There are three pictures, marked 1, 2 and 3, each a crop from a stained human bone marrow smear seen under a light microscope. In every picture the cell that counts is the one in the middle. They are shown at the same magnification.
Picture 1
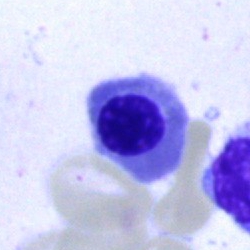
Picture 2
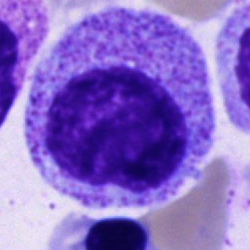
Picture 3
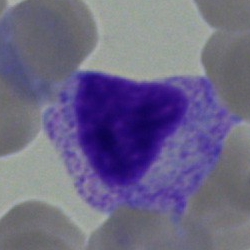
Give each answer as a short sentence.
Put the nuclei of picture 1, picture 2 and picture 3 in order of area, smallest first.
Smallest first: 1, 3, 2.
